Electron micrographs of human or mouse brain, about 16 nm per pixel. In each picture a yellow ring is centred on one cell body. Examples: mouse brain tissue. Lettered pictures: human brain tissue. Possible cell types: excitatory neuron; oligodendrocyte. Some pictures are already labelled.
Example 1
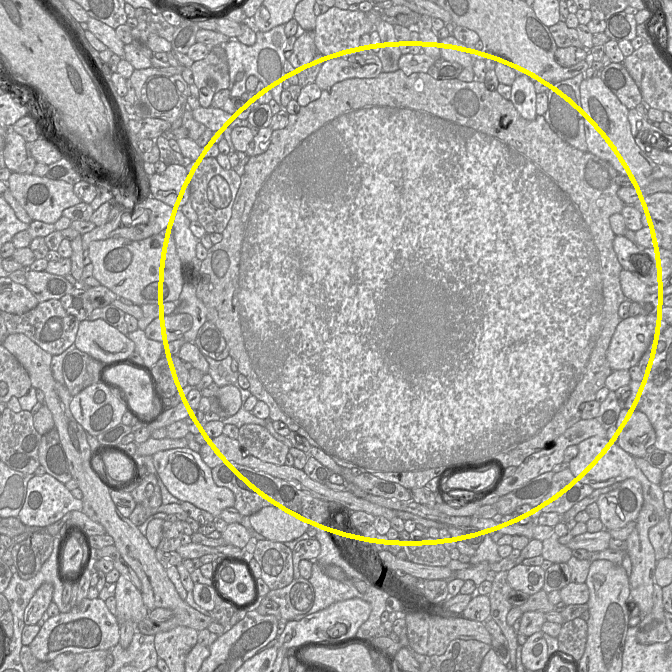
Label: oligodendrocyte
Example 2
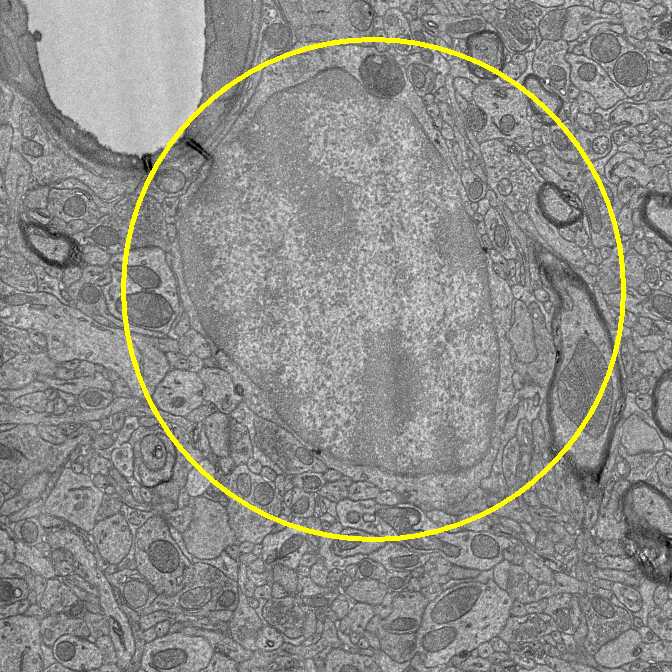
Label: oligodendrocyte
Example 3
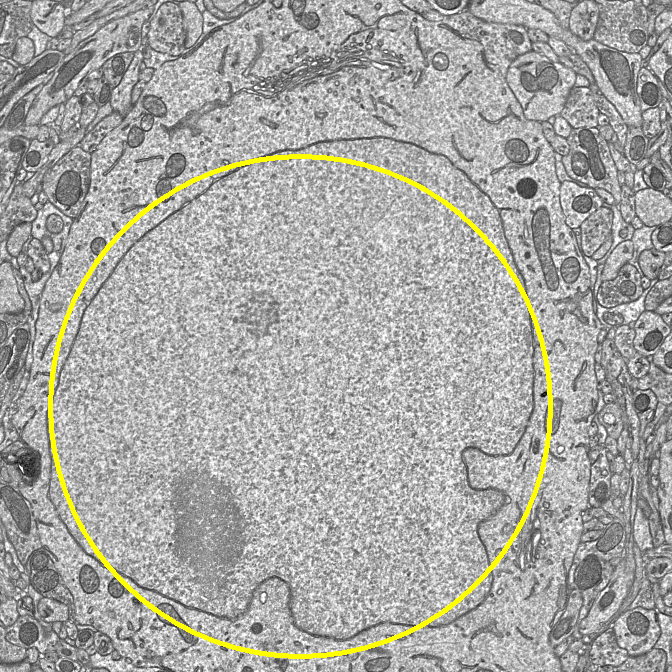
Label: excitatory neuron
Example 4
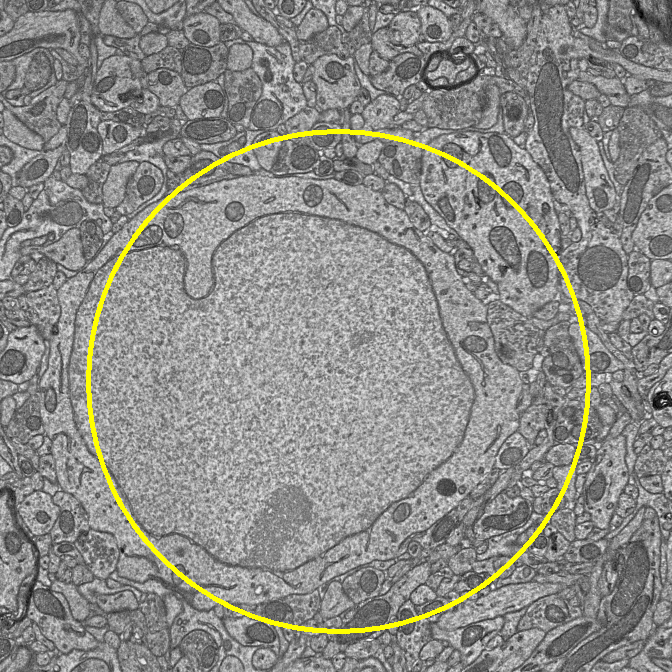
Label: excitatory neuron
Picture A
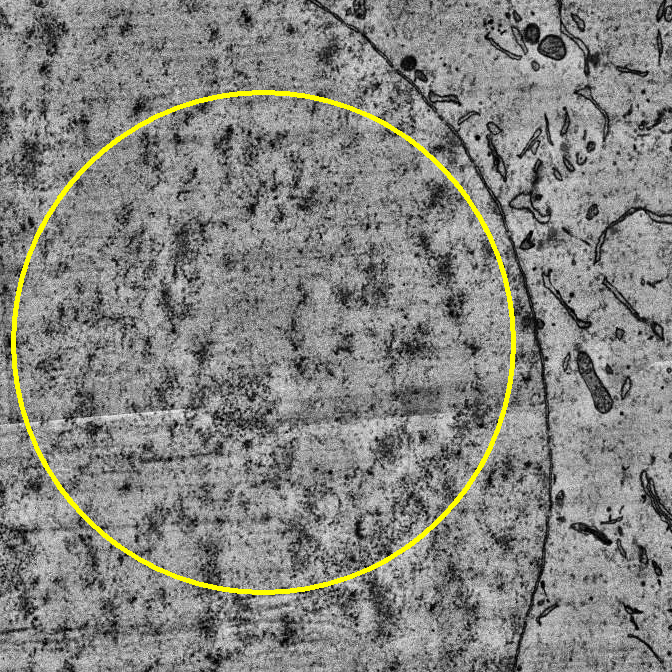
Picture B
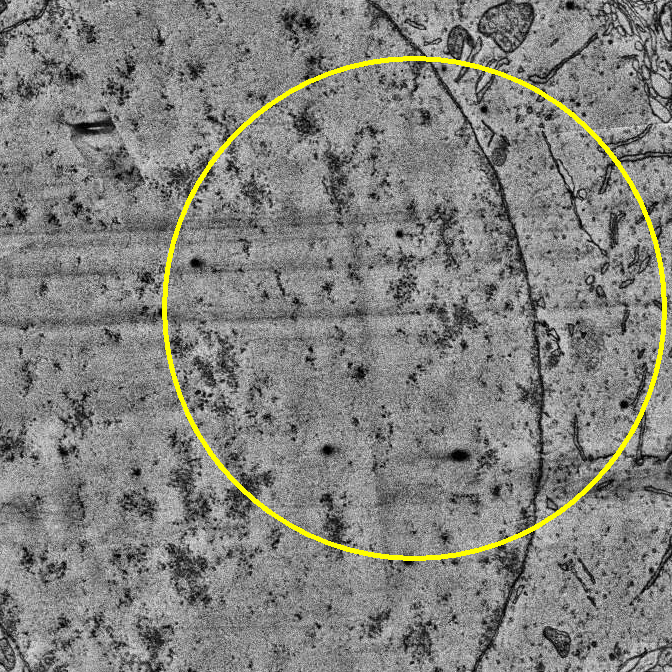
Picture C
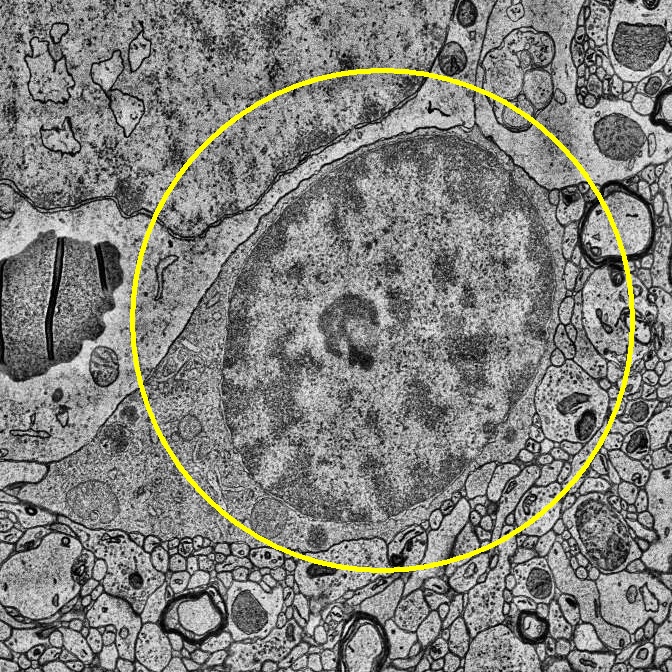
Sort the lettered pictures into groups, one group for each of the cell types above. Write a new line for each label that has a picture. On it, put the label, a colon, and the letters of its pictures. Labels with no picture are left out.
excitatory neuron: A, B
oligodendrocyte: C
